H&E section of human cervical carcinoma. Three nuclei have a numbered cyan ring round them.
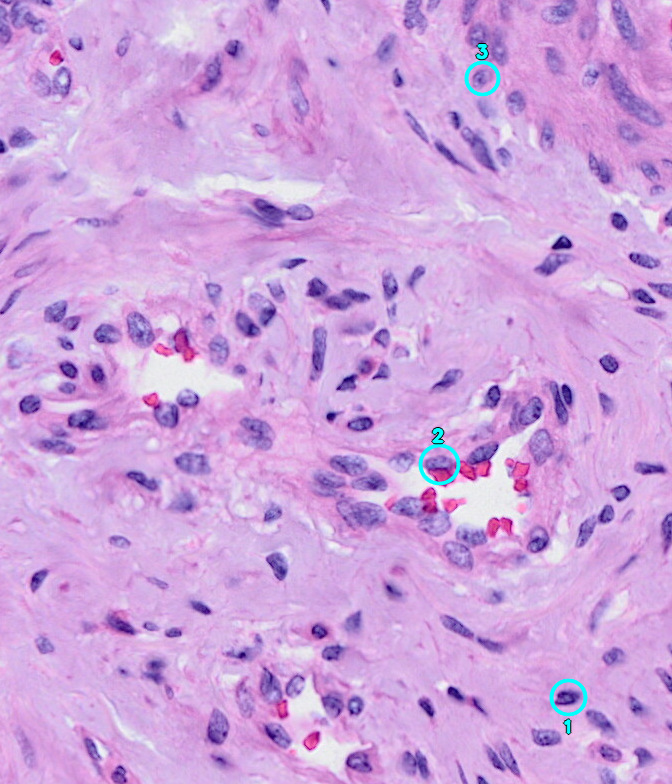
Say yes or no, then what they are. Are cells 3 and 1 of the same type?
No, sorry to say, cell 3 is a smooth muscle cell and cell 1 is a fibroblast.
